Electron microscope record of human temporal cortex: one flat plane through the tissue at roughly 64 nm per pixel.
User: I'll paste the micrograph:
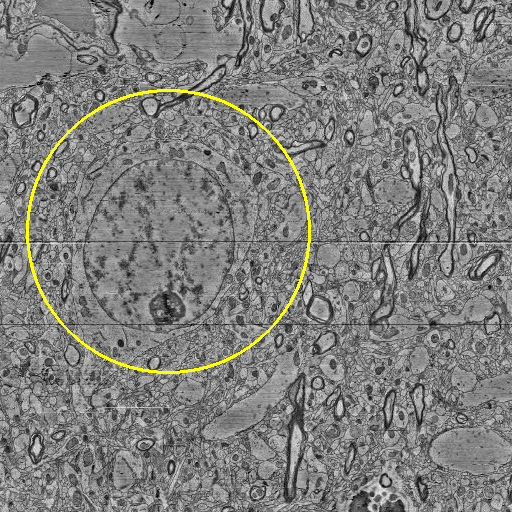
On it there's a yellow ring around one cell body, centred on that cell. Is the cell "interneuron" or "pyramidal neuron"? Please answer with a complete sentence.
The cell ringed in yellow is a pyramidal neuron.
